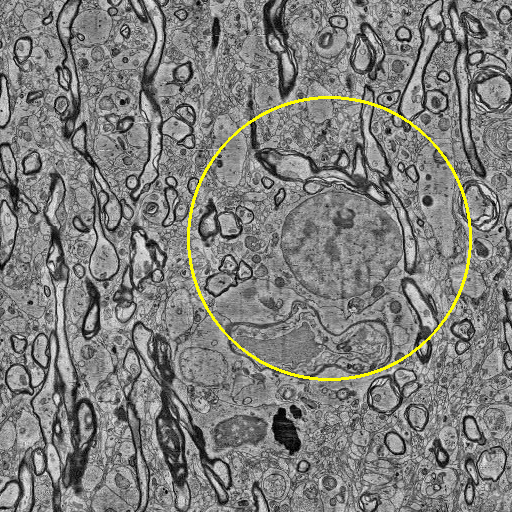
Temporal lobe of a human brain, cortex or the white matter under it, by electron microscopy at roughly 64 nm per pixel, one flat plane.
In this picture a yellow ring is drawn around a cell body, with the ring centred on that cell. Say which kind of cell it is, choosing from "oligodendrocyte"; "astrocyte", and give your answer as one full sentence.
Here it is an oligodendrocyte that sits at the centre of the drawn yellow ring.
